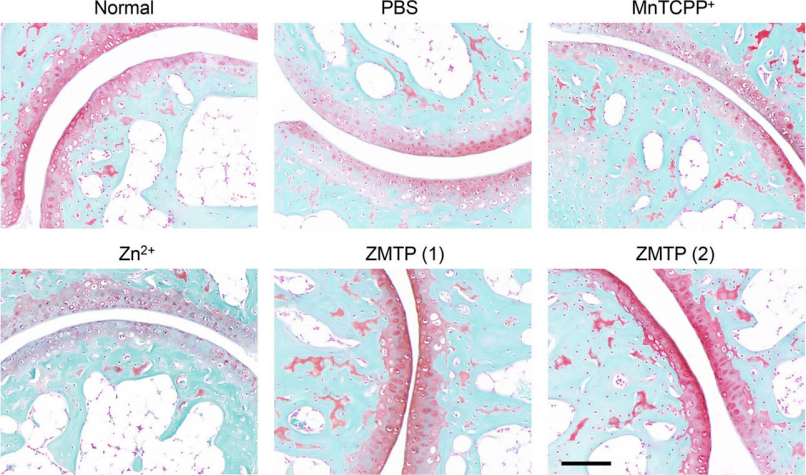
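The cartilage layer holds small rounded chondrocytes in lacunae, arranged in rows and clusters. In some sections the cartilage is strongly stained pink-red and forms a thick, continuous band. Below the cartilage, bone trabeculae enclose pale marrow spaces containing scattered small cells.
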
